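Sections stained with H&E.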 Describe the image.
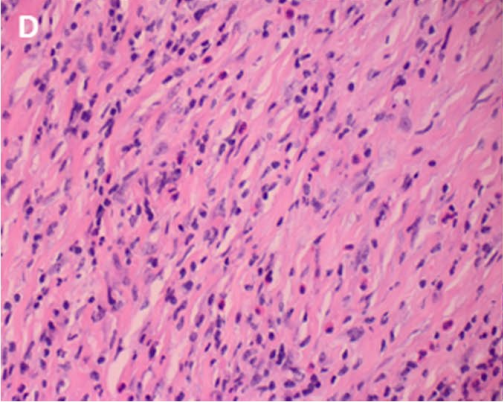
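This is fibrous tissue with an eosinophilic infiltrate. Wavy pink collagen bundles run obliquely across the field between elongated, spindle-shaped nuclei. Scattered among them are inflammatory cells, some with bright pink-red granular cytoplasm typical of eosinophils, together with small round cells with dark nuclei.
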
